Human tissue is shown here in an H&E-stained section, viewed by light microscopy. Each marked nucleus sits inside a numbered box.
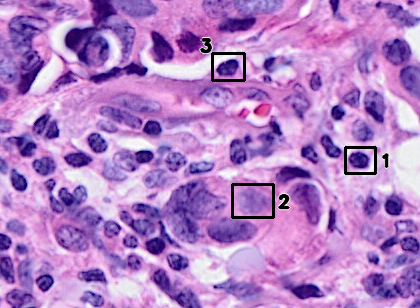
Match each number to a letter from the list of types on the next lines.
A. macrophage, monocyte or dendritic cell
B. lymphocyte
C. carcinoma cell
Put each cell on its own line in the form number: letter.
1: B
2: C
3: B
